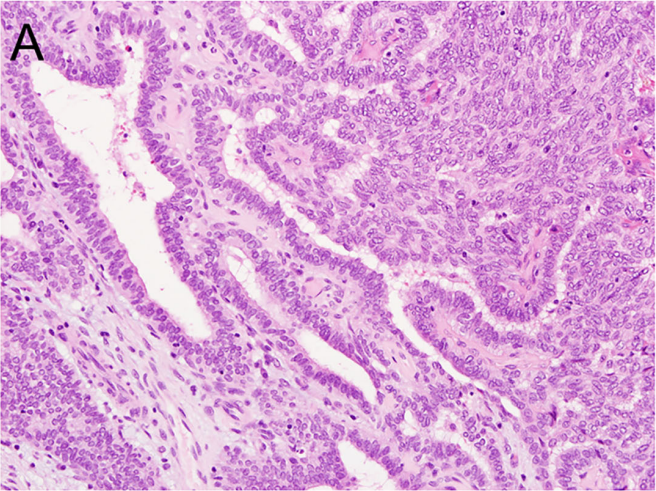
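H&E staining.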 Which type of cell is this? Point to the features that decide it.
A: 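The lining cells are cube-shaped to tall. Nuclei lie in more than one row along the lining. Nuclei are round to oval with pale chromatin.
Conclusion: cuboidal to columnar stratified cells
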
